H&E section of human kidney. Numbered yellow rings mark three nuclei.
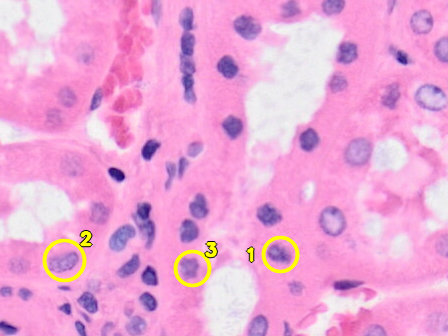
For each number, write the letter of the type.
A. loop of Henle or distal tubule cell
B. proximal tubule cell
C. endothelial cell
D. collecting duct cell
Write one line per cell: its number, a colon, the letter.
1: A
2: B
3: A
